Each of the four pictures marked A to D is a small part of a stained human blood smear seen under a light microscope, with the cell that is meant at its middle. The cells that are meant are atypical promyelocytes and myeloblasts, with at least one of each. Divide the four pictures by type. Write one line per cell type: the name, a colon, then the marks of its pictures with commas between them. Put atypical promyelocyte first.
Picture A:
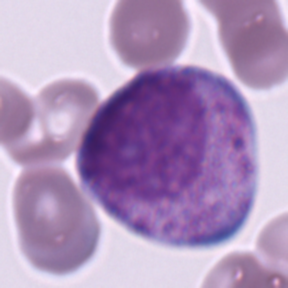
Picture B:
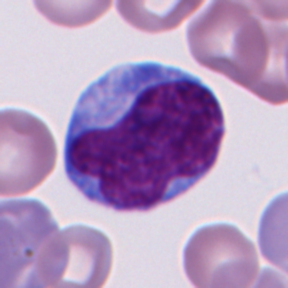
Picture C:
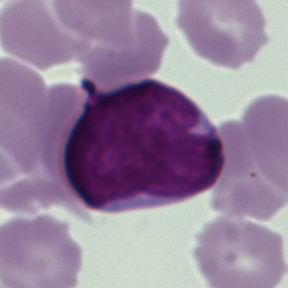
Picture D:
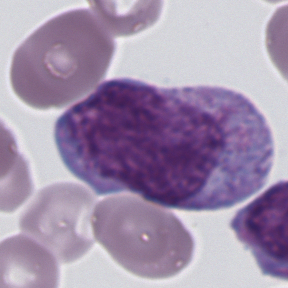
atypical promyelocyte: A, D
myeloblast: B, C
